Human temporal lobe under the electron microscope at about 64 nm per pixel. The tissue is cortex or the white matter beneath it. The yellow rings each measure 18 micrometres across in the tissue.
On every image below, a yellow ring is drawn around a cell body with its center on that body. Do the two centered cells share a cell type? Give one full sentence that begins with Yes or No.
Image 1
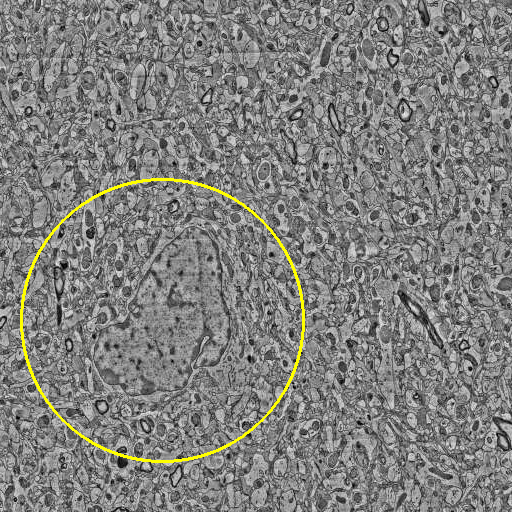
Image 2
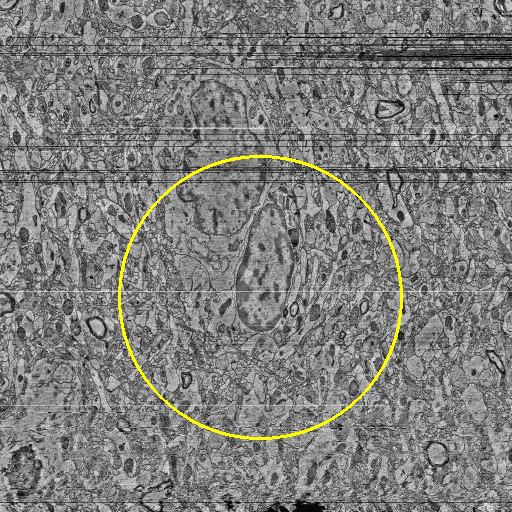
Yes, the centered cells in the two images are of a single cell type.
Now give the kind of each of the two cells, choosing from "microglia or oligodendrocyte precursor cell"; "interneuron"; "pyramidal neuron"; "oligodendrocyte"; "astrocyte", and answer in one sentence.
Each cell, in the first picture and the second, is a microglial cell or oligodendrocyte precursor cell.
